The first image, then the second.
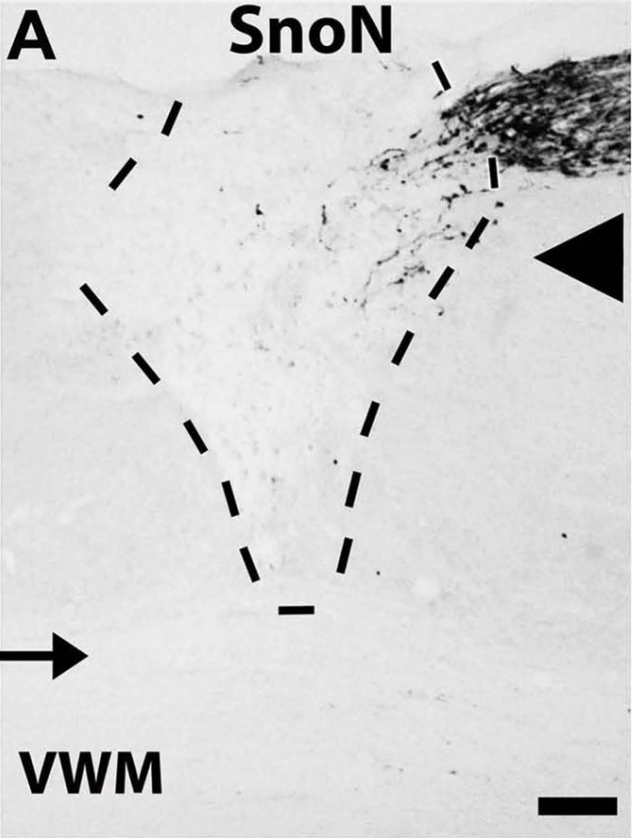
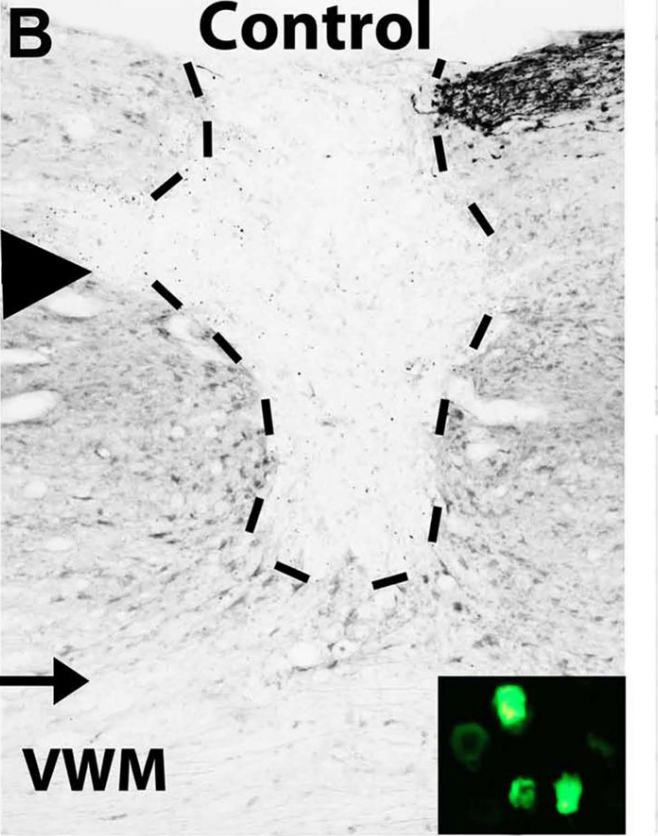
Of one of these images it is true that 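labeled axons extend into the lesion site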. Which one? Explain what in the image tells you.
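Second image: the dark fiber bundle stops at the edge of the dashed area, with only fine dots inside. First image: dark branching fibers run from the bundle well into the dashed area. The answer: the first image.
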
